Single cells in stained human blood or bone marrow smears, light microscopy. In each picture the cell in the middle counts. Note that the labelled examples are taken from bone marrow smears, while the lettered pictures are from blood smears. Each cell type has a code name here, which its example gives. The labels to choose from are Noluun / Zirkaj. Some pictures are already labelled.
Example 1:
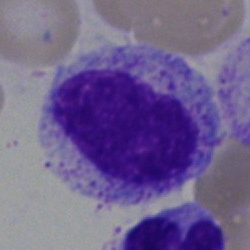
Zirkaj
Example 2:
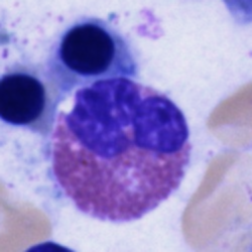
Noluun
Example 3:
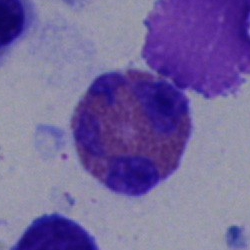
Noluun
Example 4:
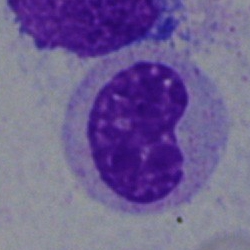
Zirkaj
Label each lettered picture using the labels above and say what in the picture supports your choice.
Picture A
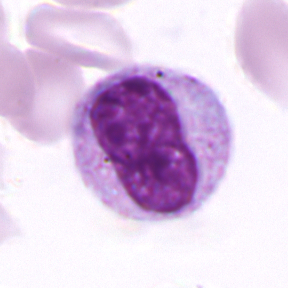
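Answer: Zirkaj. Fine dust-like pinkish-purple granules are scattered through the cytoplasm.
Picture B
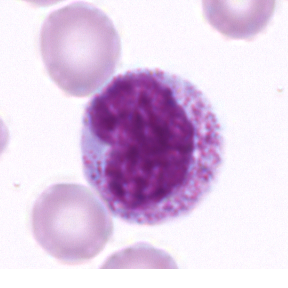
Answer: Zirkaj. The nucleus has a deep notch on its left side, giving it a kidney shape.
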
